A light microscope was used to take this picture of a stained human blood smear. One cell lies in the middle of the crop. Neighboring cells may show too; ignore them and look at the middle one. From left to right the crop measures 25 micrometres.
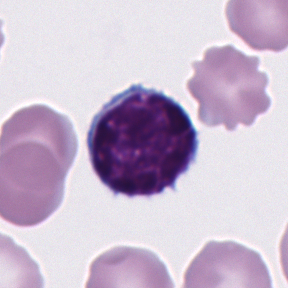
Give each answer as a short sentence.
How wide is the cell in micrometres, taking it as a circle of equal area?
The diameter of the cell comes to about 10 micrometres.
